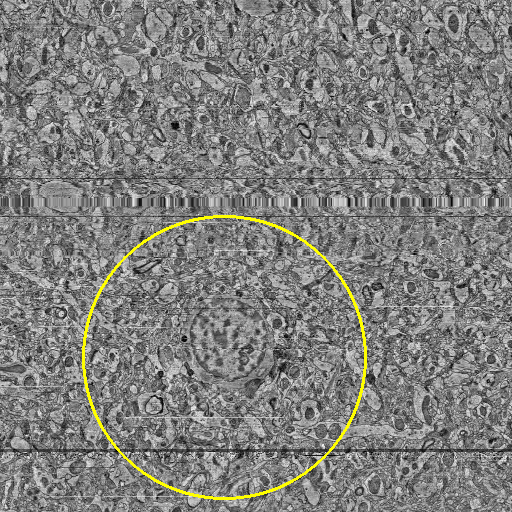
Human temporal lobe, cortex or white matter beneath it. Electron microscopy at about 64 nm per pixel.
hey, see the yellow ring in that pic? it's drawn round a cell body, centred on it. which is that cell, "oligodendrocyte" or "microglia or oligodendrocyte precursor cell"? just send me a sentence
The cell in the ring is an oligodendrocyte.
